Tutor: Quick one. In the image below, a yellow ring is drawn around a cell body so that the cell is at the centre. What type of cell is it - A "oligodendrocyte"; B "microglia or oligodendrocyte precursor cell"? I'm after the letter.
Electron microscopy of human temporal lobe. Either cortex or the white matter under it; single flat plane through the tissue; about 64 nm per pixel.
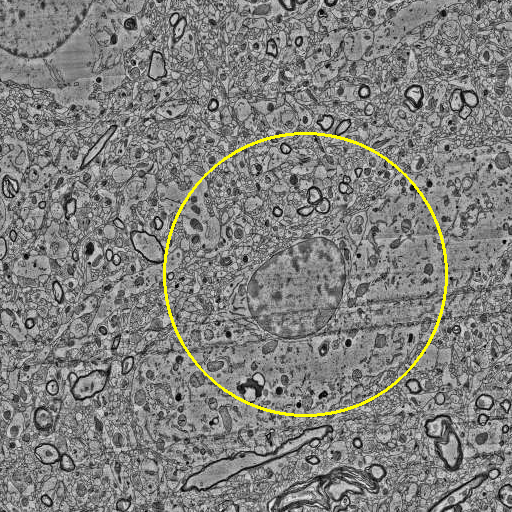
B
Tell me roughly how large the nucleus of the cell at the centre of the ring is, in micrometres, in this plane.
Approximately 7 x 6 micrometres in this plane.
